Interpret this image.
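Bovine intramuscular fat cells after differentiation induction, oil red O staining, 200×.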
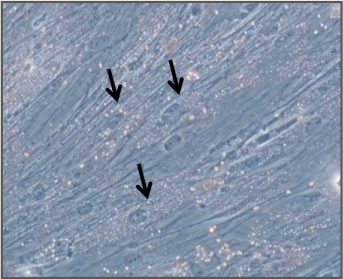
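Cultured cells, mostly elongated and spindle-shaped, lying in parallel streams with oval pale nuclei. A few cells carry clusters of small round refractile droplets, most of them faint with only a little orange stain. Red-stained rounded cells are scarce in the field.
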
